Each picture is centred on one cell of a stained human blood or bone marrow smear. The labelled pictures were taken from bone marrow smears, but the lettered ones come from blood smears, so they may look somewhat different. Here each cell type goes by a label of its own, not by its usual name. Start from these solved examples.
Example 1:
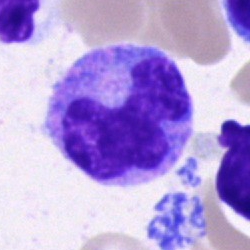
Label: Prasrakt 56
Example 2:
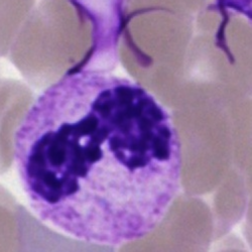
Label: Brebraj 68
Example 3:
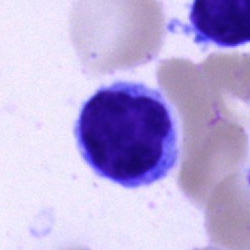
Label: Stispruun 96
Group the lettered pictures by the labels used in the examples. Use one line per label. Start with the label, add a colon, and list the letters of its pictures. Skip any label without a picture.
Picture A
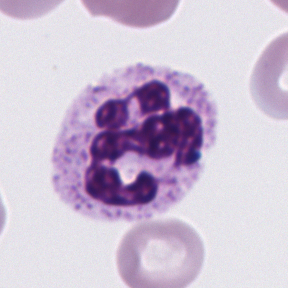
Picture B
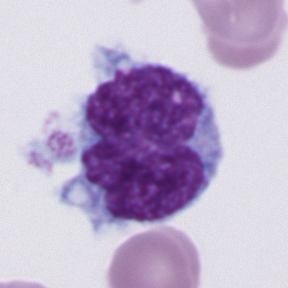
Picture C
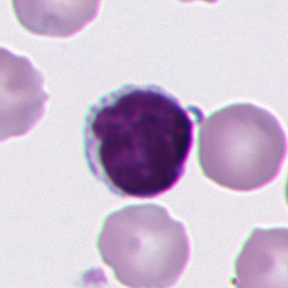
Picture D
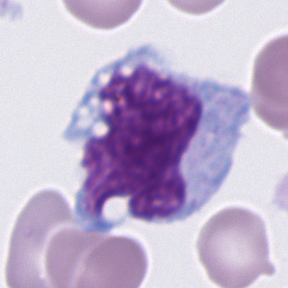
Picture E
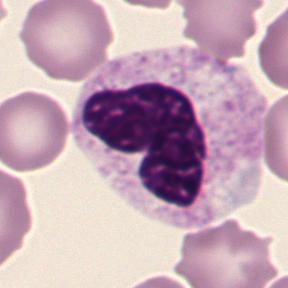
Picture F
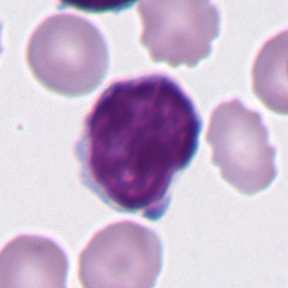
Prasrakt 56: B, D
Brebraj 68: A, E
Stispruun 96: C, F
